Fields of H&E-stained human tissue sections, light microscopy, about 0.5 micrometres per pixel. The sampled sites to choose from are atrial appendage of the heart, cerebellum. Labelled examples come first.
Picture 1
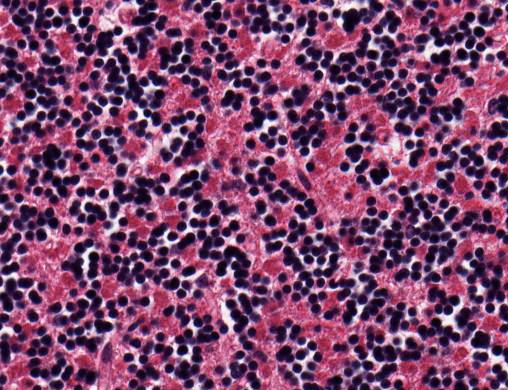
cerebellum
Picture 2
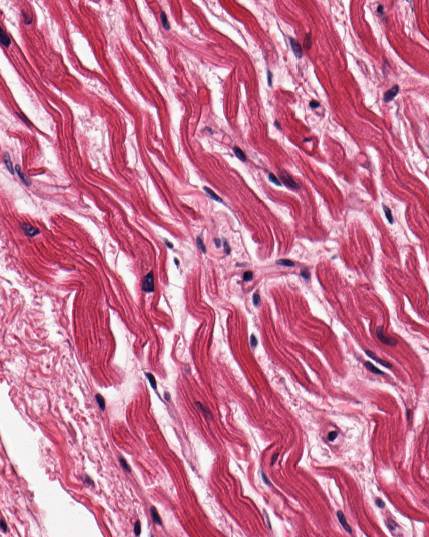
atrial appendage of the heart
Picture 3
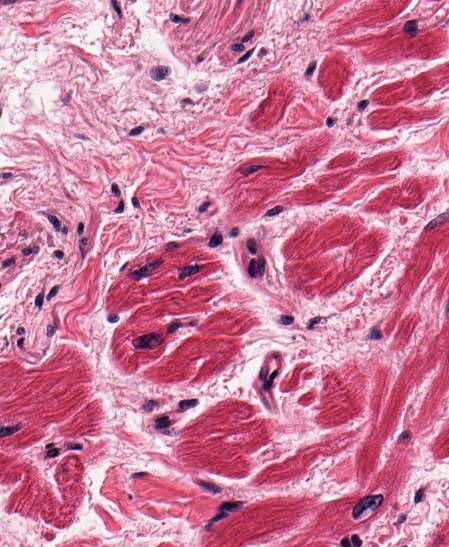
atrial appendage of the heart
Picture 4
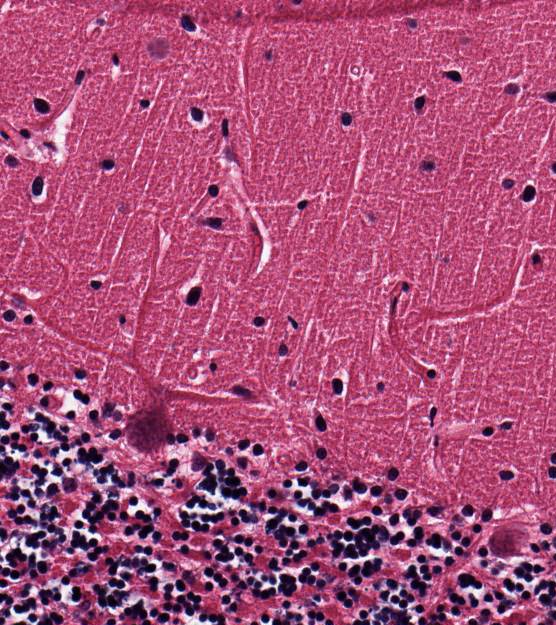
cerebellum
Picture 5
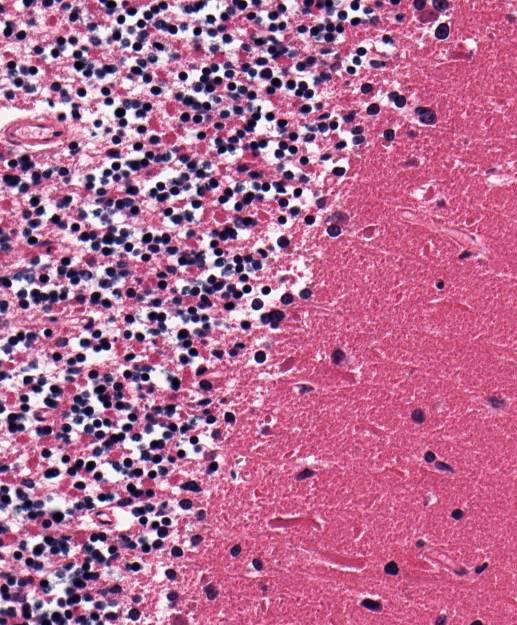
cerebellum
